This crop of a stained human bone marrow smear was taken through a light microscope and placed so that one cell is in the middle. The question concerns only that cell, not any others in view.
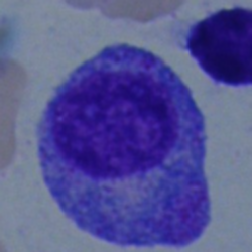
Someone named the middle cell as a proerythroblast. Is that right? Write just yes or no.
no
